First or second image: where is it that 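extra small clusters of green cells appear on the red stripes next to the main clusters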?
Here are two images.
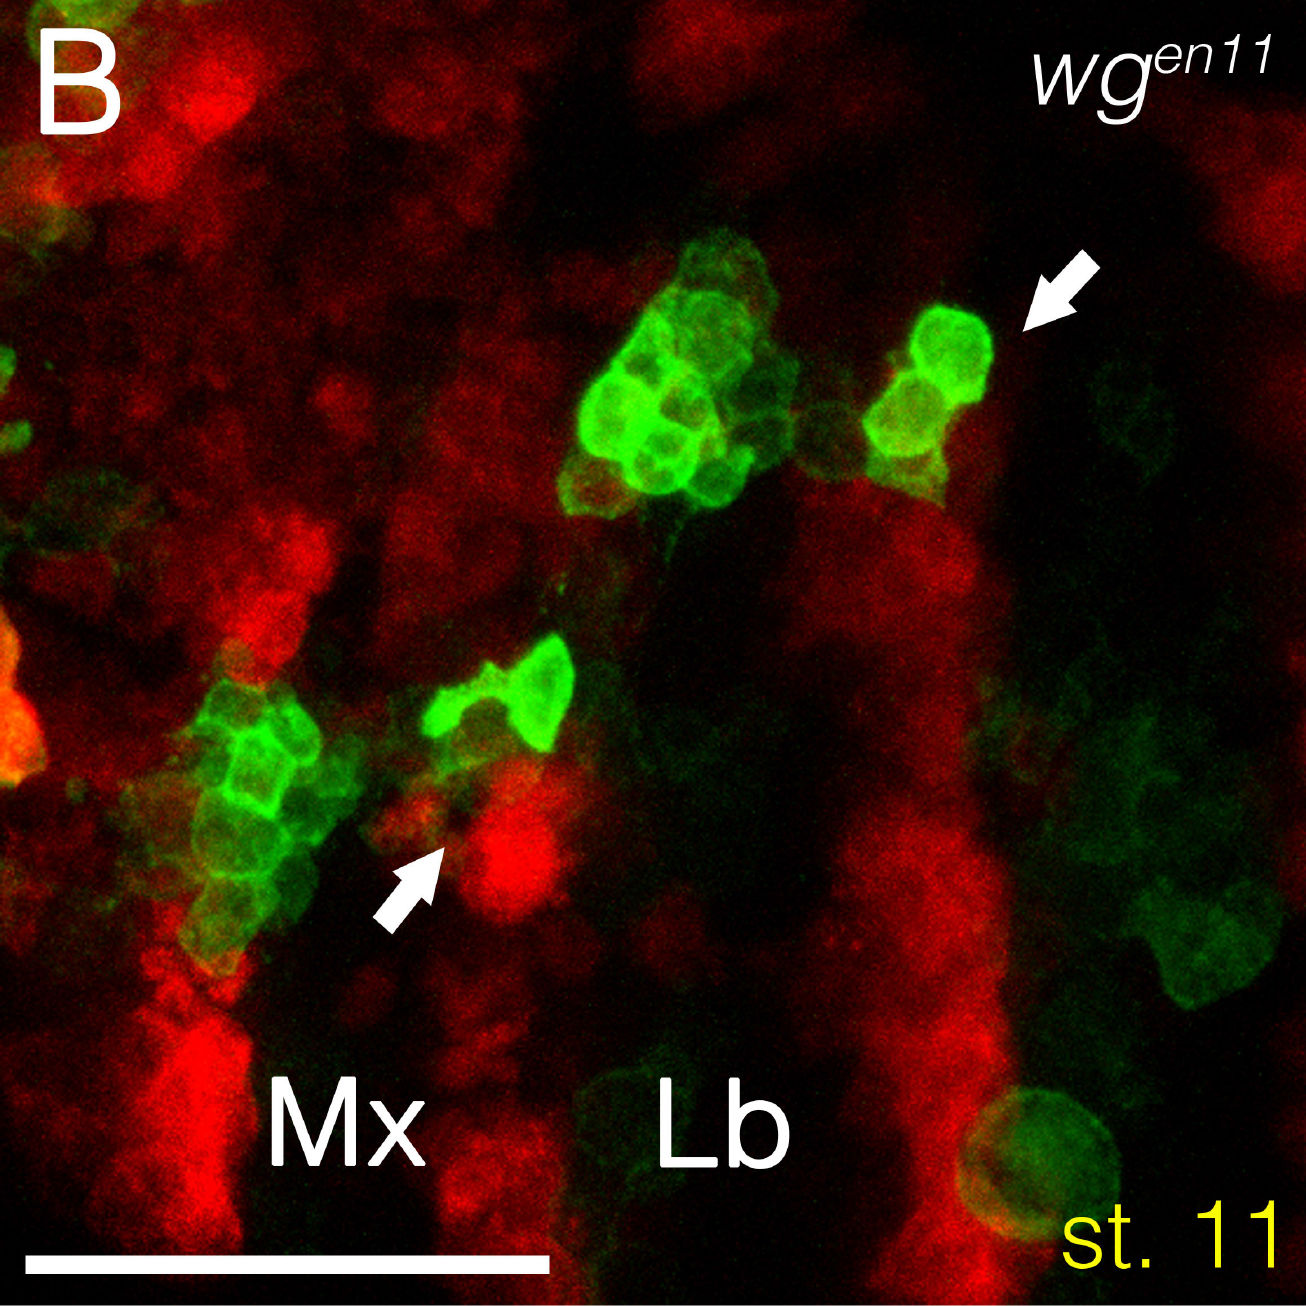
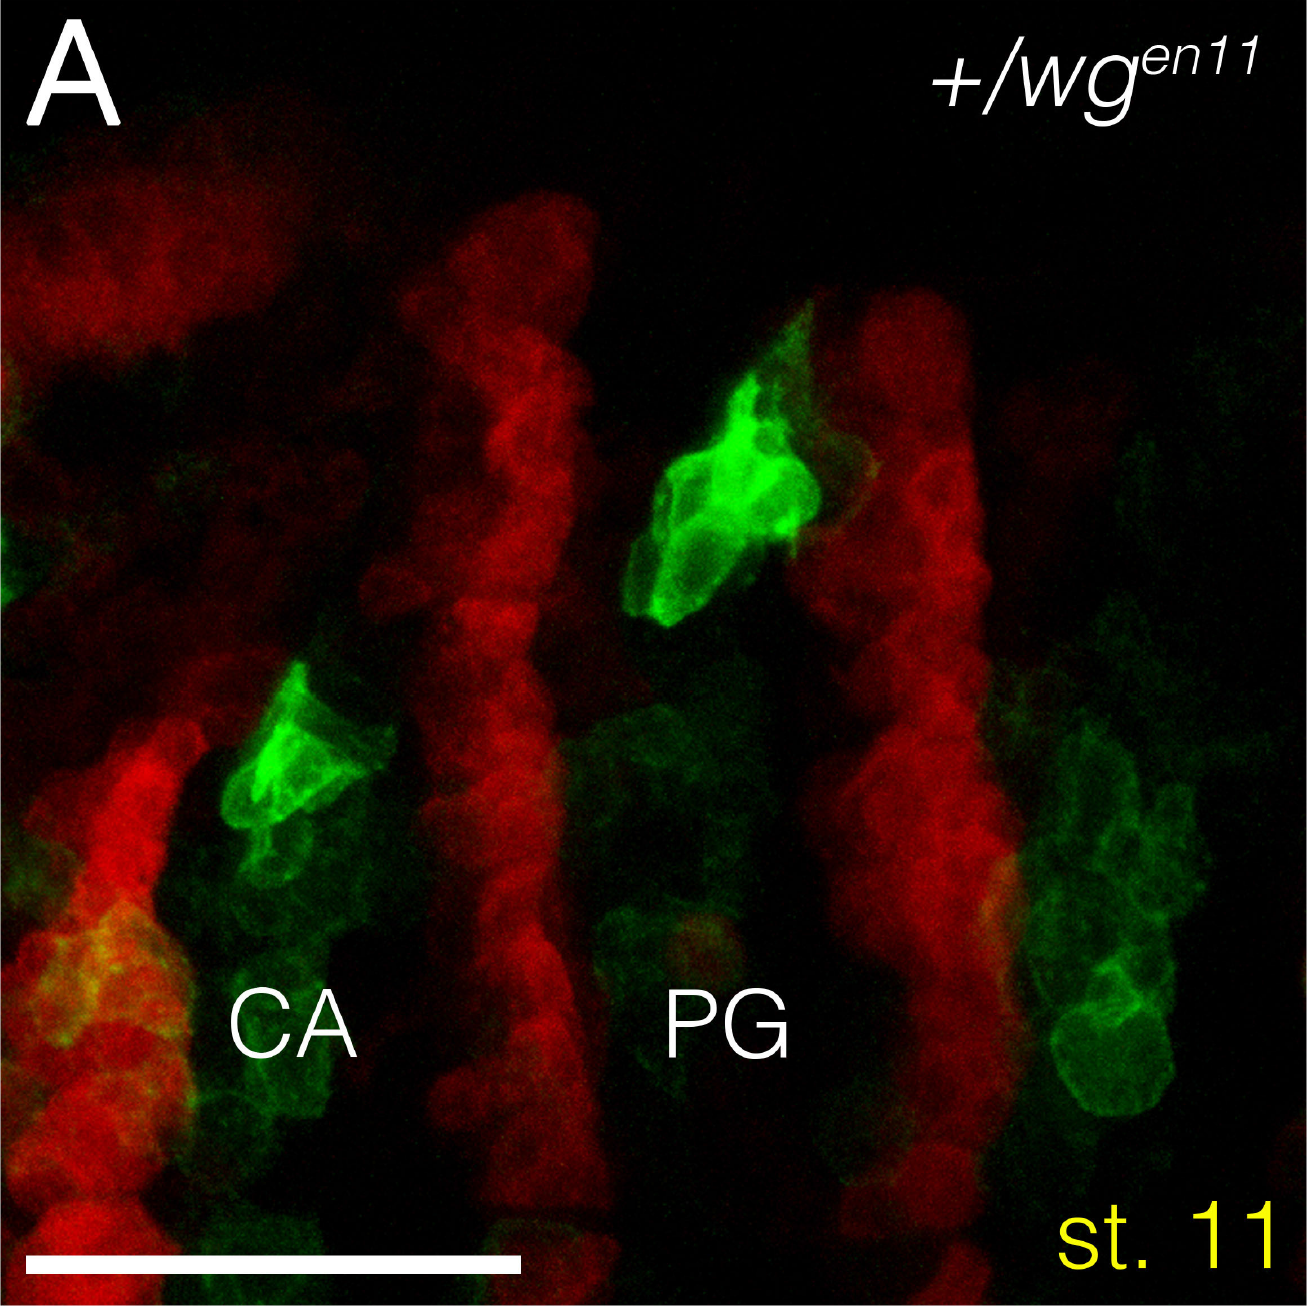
The first image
